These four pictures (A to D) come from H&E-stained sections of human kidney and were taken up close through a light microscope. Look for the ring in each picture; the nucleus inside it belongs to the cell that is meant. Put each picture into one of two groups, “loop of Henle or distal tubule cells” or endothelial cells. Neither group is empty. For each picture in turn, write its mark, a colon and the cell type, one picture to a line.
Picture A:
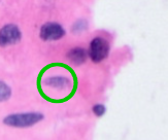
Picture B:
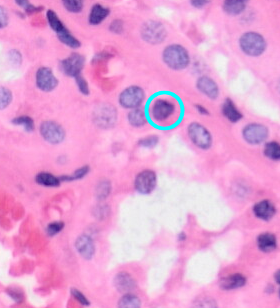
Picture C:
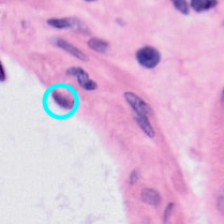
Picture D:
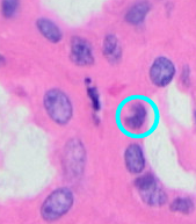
A: endothelial cell
B: loop of Henle or distal tubule cell
C: endothelial cell
D: loop of Henle or distal tubule cell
